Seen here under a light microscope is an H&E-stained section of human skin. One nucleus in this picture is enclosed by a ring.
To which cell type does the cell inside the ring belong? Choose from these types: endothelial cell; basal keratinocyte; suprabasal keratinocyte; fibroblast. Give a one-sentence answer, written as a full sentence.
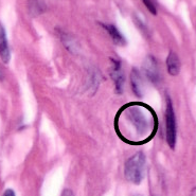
Within the stained tissue, the cell inside the ring is an endothelial cell.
